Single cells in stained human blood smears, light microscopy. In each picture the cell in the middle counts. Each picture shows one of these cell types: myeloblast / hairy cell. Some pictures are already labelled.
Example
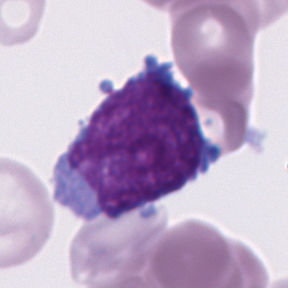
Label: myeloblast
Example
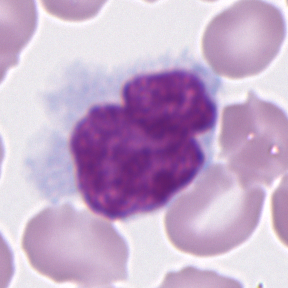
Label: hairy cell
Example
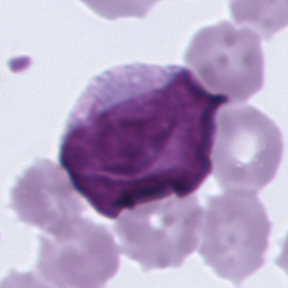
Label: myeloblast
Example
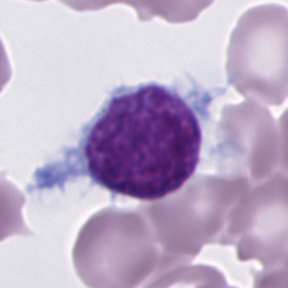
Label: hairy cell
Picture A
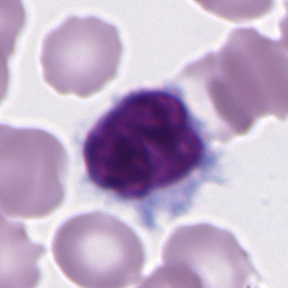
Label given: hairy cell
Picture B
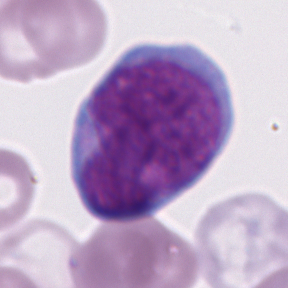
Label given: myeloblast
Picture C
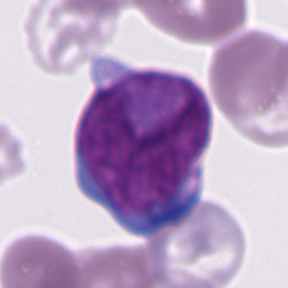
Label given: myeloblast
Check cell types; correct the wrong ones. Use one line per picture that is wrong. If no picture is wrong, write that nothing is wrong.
All correct.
